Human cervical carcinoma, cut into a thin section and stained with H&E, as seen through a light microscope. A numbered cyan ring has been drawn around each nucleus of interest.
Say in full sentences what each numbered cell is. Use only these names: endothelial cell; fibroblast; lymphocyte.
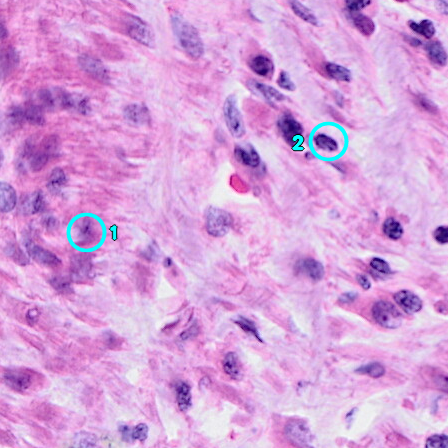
Cell 1 is a fibroblast and cell 2 is a lymphocyte.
